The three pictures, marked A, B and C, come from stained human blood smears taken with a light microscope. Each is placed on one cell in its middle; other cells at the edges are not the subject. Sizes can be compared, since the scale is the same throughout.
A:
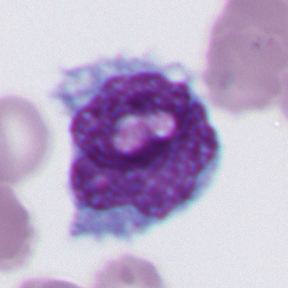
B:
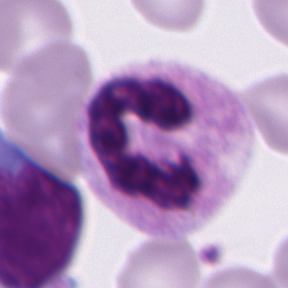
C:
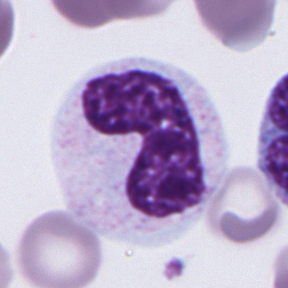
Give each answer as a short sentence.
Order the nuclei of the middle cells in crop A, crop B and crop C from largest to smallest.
From the largest down, the order is A, C, B.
